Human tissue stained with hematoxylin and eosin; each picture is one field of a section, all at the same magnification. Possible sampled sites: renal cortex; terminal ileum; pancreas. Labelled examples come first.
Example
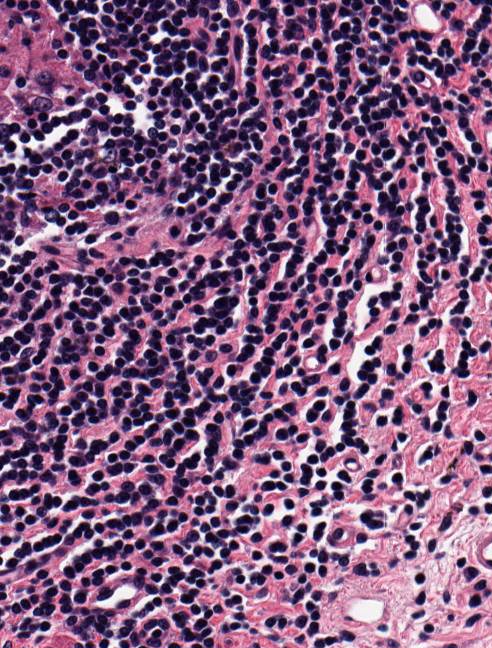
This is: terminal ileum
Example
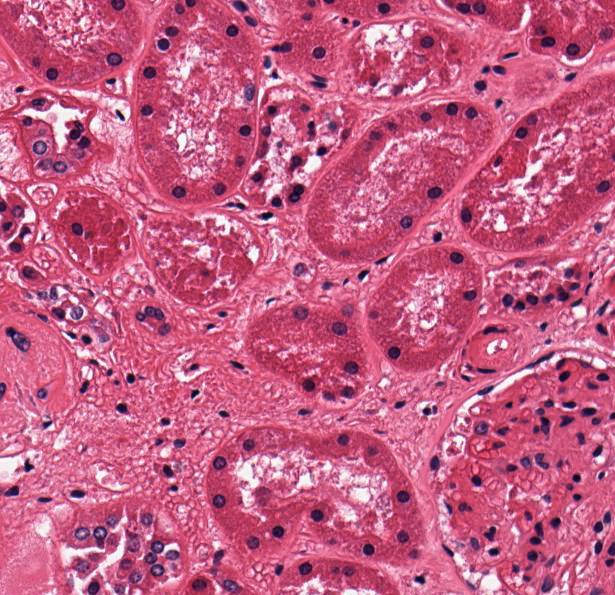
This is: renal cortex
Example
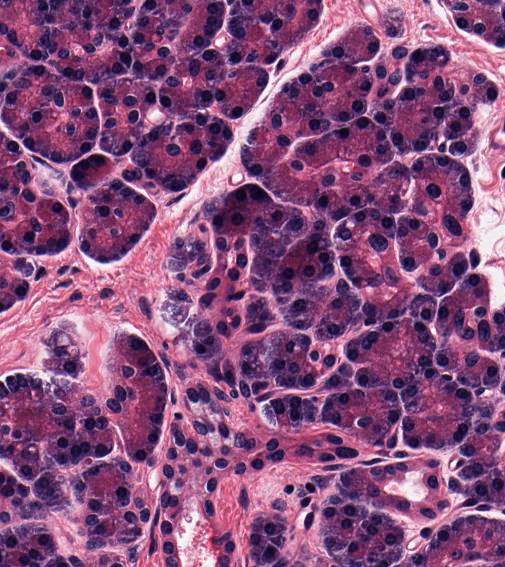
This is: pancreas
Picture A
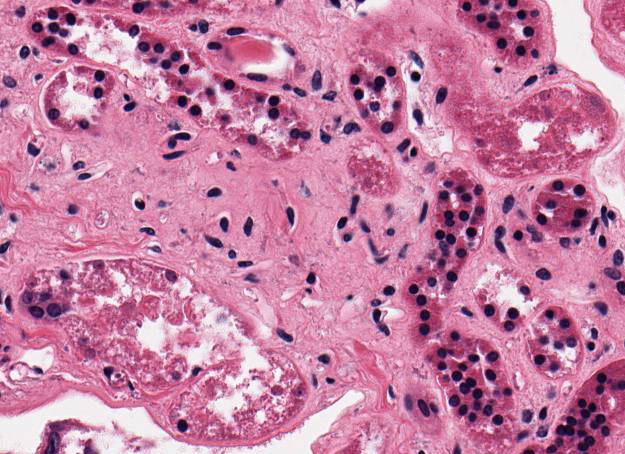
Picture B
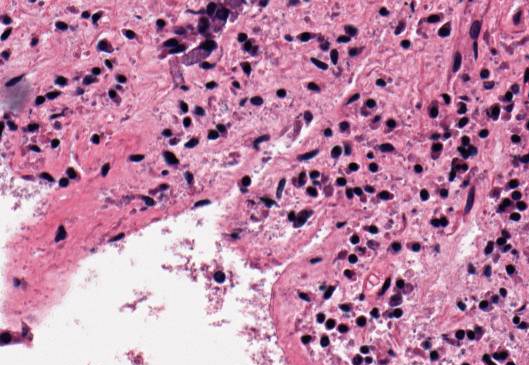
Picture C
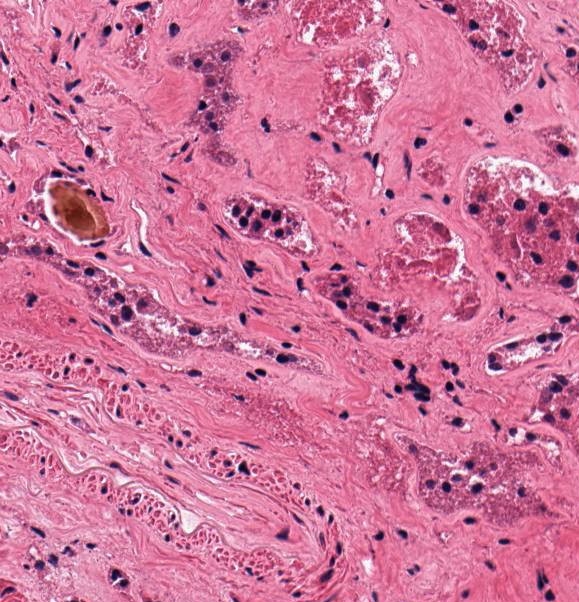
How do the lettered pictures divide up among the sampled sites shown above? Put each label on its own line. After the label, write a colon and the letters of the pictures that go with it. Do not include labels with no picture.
renal cortex: A, C
terminal ileum: B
